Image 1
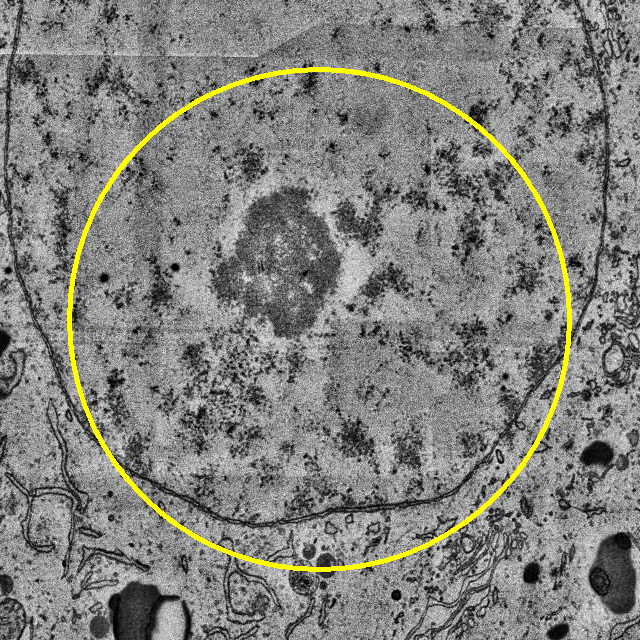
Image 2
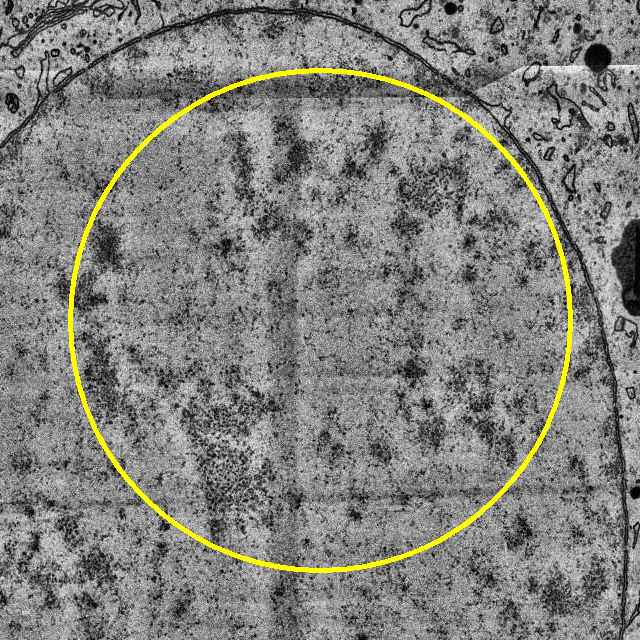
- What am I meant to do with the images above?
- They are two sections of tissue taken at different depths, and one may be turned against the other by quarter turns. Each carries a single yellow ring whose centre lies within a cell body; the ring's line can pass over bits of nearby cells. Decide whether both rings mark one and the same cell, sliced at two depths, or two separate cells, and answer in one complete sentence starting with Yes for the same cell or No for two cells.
No, the rings mark separate cells, one per ring.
